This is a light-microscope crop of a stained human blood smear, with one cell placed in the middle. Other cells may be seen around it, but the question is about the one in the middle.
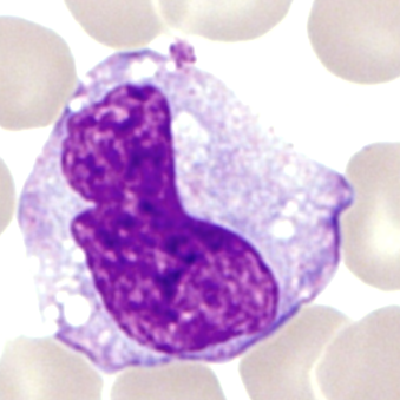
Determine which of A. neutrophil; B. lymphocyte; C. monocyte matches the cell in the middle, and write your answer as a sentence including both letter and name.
Here the right option is C, as the cell in the middle is a monocyte.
